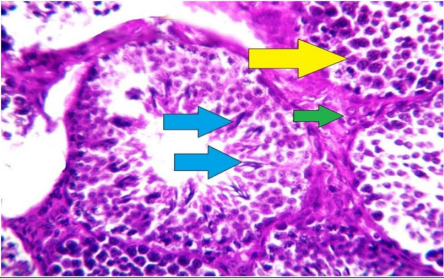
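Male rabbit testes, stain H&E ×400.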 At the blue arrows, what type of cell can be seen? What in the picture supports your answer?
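Spermatozoa. The blue arrows point to thin dark elongated profiles near the tubule lumen. These slender forms project toward the central lumen.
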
